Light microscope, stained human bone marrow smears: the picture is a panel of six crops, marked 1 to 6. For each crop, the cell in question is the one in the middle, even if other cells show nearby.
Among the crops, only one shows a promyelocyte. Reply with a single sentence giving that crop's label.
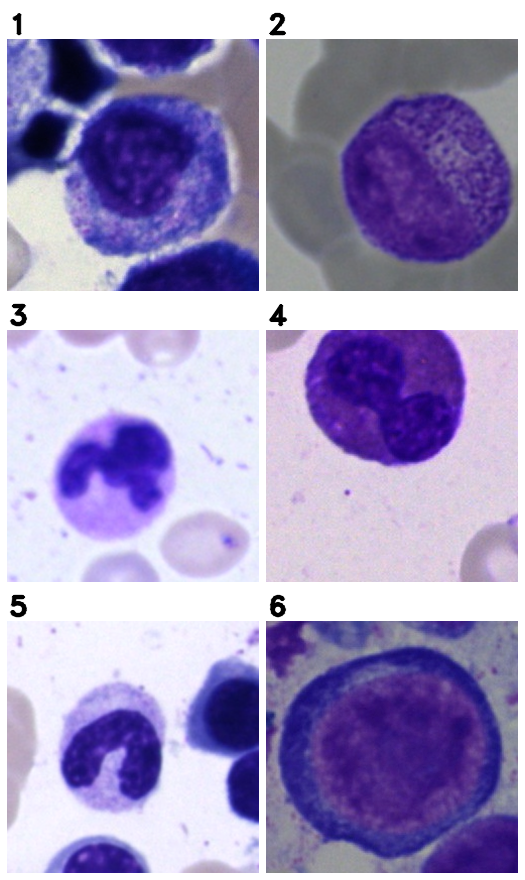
Selected crop: 1, which is the one that shows a promyelocyte.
